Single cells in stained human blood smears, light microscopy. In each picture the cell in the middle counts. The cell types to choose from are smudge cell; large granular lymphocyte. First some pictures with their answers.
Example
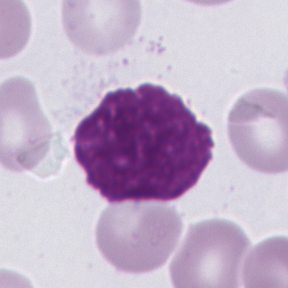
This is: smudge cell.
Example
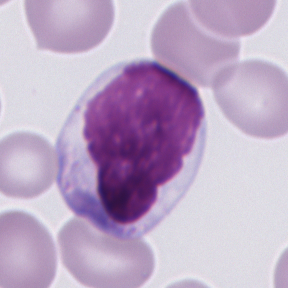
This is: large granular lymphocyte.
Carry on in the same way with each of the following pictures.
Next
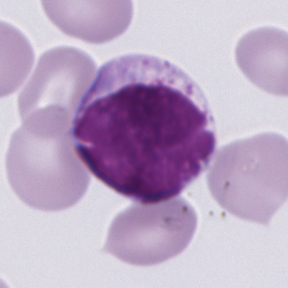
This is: large granular lymphocyte.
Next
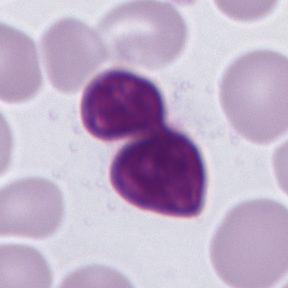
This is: smudge cell.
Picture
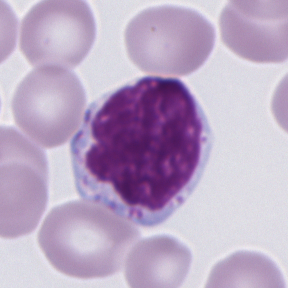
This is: large granular lymphocyte.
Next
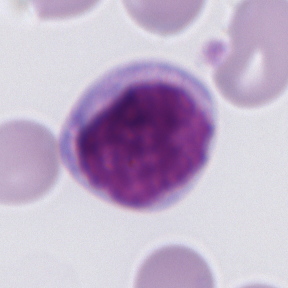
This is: large granular lymphocyte.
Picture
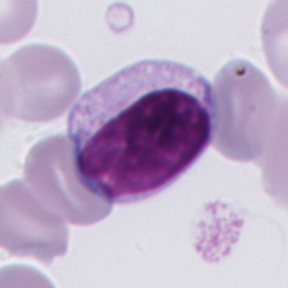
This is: large granular lymphocyte.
